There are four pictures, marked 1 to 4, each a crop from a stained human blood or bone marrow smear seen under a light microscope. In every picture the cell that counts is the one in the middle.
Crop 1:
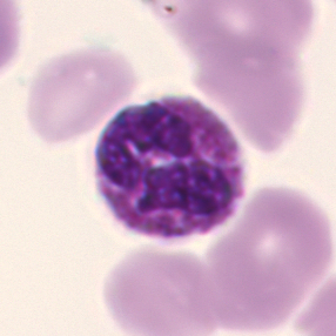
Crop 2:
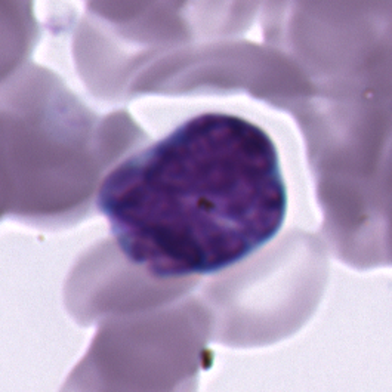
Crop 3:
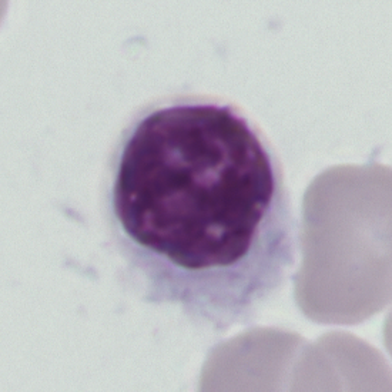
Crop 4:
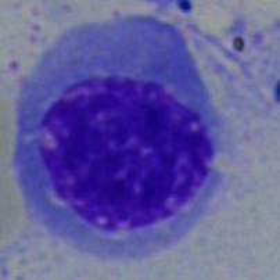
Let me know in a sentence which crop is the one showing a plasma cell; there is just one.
Crop 3 is the correct crop, and it shows a plasma cell.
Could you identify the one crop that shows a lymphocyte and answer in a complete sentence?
Crop 2 is the crop containing a lymphocyte.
